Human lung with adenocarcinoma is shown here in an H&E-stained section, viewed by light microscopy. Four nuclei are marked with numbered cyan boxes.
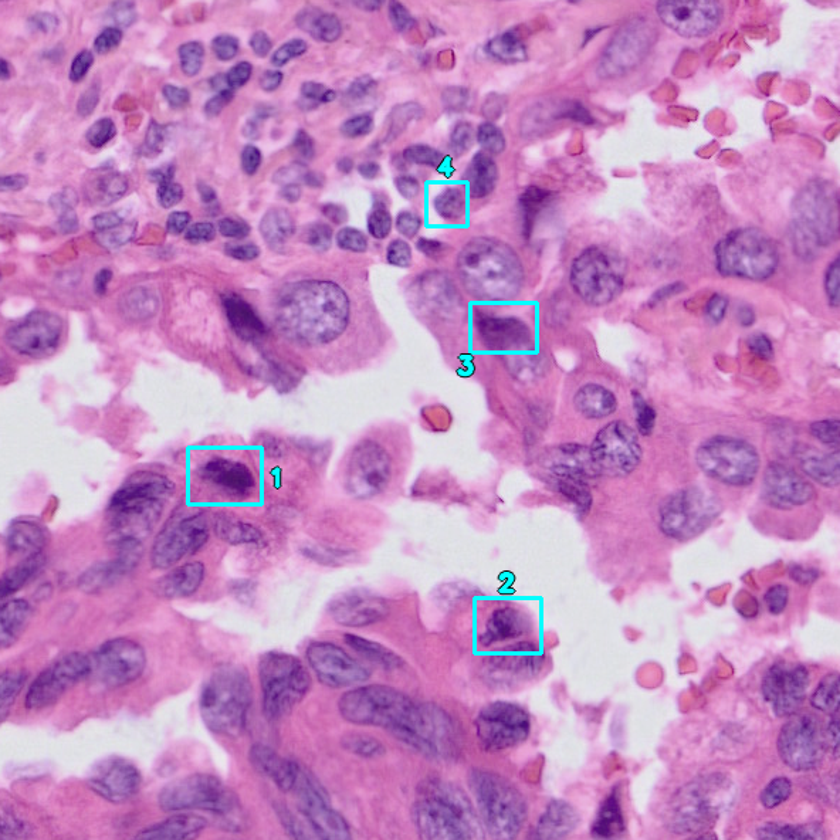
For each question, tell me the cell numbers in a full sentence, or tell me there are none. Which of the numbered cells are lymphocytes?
Cell 4 represents a lymphocyte, and no other numbered cell does.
